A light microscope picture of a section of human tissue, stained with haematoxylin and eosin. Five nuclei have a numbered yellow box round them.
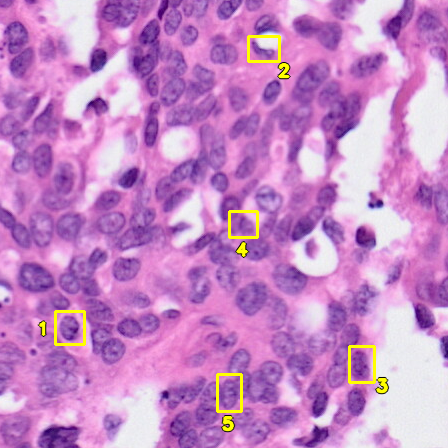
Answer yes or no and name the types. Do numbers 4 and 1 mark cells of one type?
No, cell 4 is a carcinoma cell and cell 1 is a macrophage or monocyte.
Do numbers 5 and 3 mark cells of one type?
Yes, both are carcinoma cells.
